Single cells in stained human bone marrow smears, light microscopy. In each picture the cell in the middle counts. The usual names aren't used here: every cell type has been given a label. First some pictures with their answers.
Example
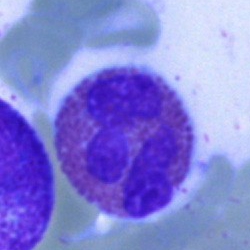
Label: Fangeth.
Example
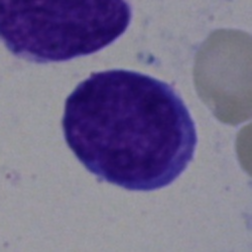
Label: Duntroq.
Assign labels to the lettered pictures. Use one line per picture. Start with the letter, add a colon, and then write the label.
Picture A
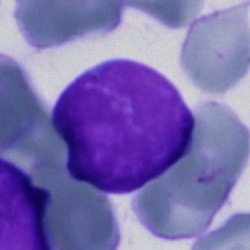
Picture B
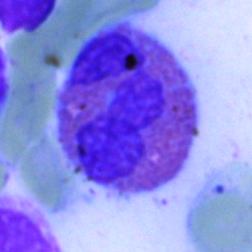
A: Duntroq.
B: Fangeth.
